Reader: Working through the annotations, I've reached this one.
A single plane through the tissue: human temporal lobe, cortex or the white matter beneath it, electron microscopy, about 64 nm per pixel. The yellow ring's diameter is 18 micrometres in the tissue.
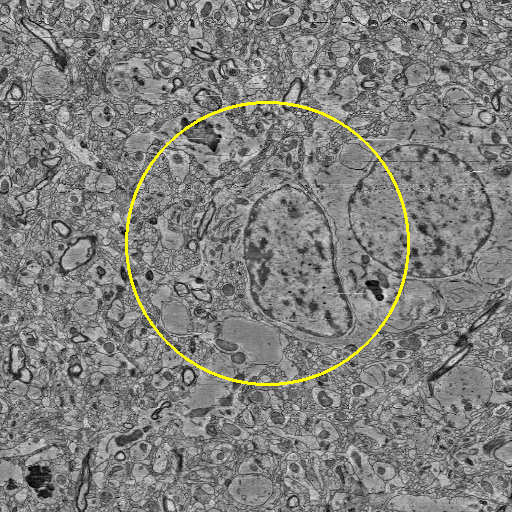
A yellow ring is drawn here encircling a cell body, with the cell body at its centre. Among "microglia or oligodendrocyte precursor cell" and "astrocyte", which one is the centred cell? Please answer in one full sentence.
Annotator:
The cell body at the centre of the yellow ring in this image belongs to a microglial cell or oligodendrocyte precursor cell.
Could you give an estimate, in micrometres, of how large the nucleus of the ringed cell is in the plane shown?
About 11 micrometres by about 6 micrometres in this plane.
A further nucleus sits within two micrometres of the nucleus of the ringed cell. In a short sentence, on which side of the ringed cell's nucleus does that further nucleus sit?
The second nucleus lies to the upper right of it.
